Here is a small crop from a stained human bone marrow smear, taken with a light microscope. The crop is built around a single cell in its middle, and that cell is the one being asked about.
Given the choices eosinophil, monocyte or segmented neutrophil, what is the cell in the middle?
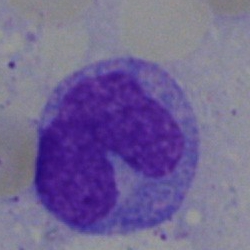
monocyte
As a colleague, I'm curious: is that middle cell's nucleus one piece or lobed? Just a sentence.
In this cell the nucleus is a solitary compact mass, round, oval or kidney-shaped.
